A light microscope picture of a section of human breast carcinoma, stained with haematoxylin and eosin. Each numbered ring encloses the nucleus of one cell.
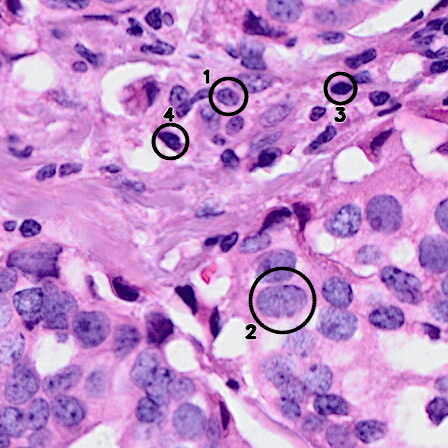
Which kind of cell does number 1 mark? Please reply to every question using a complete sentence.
The cell that goes by number 1 is a lymphocyte.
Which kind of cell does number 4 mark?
Cell 4 should be recorded as a lymphocyte.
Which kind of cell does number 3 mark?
Cell 3 in the field of view is a lymphocyte.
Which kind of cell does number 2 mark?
The nucleus labeled 2 belongs to a carcinoma cell.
